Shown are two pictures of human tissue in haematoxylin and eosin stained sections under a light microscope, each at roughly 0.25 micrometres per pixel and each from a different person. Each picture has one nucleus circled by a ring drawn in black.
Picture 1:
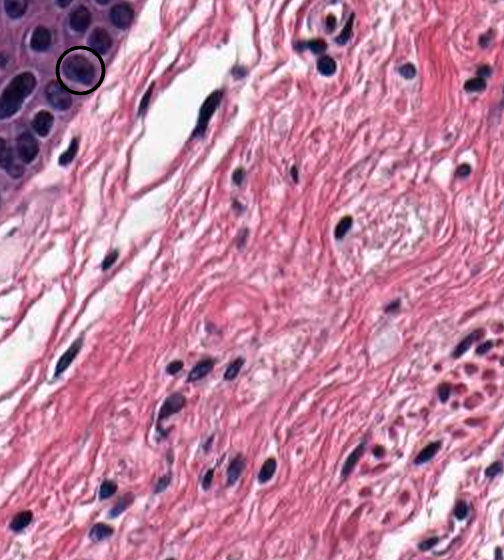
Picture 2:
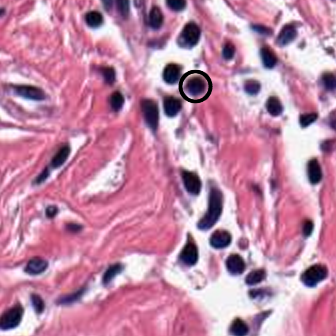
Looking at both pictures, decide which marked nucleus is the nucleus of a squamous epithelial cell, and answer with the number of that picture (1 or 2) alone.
1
